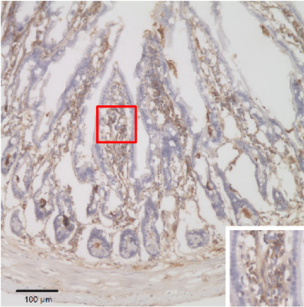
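This is small intestine with villi cut along their length, the epithelium counterstained blue. Many brown-stained cells fill the cores of the villi and the tissue near their bases, lying beneath the blue epithelial lining.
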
